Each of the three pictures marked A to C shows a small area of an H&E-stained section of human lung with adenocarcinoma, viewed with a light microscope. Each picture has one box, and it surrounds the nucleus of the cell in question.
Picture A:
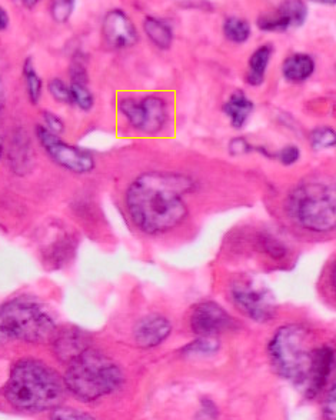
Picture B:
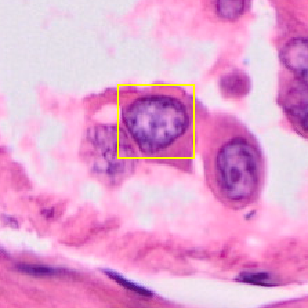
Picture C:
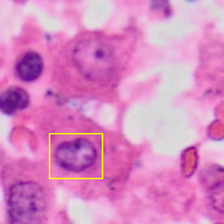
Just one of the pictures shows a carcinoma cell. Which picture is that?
B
